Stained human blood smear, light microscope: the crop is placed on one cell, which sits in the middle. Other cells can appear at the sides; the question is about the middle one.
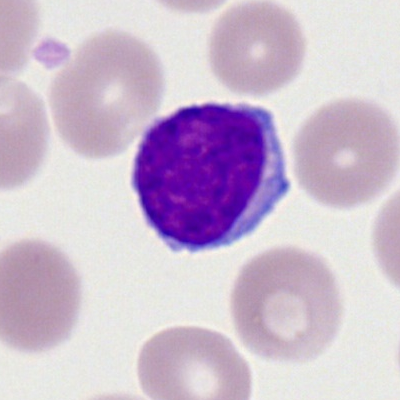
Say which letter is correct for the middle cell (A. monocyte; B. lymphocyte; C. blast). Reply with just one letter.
B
